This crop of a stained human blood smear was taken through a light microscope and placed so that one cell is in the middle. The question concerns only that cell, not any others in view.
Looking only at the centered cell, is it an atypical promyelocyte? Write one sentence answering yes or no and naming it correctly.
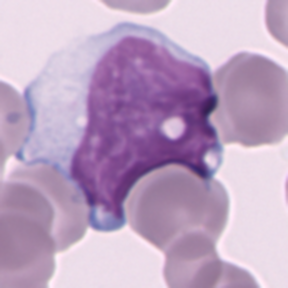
No, the centre of the crop contains a myeloblast rather than an atypical promyelocyte.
